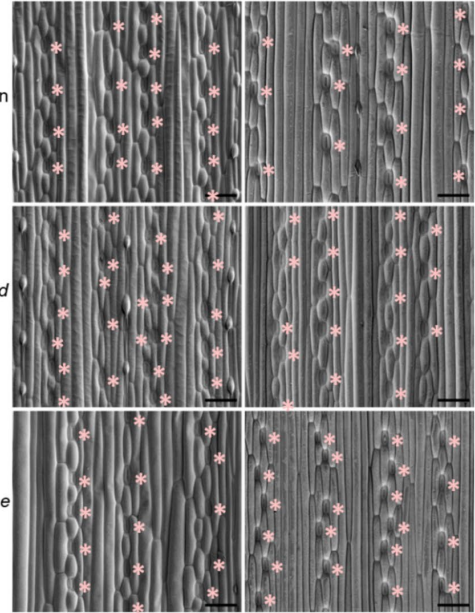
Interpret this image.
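These scanning electron images show a leaf surface made of long, narrow epidermal cells lying side by side in parallel files. The arrangement in straight, longitudinal files is the same in all six images, while the number of stomata per row varies between them.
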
